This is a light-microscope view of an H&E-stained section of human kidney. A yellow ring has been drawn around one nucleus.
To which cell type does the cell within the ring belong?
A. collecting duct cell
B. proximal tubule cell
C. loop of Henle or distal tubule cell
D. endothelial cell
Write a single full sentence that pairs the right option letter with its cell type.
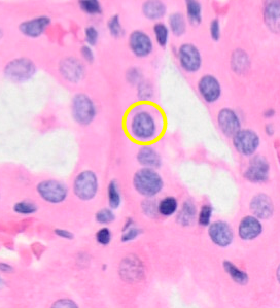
In short, option A: the cell within the ring is a collecting duct cell.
